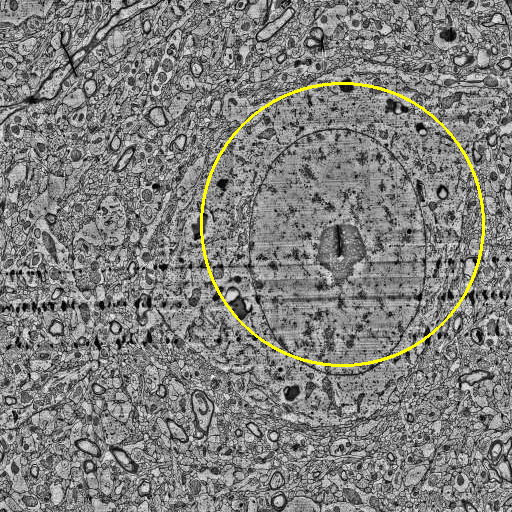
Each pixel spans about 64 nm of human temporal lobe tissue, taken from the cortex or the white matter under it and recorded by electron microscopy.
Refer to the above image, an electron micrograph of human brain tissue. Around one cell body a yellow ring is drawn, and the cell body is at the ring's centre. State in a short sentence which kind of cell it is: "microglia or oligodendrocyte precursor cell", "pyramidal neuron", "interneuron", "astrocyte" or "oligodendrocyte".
The centre of the ring falls on a pyramidal neuron.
